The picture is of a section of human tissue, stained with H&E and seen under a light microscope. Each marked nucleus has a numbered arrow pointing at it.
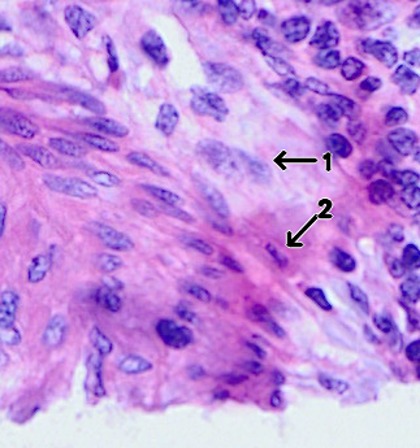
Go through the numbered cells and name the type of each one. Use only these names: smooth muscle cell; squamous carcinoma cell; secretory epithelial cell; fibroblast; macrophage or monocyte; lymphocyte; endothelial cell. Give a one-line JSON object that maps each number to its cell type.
{"1": "fibroblast", "2": "endothelial cell"}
